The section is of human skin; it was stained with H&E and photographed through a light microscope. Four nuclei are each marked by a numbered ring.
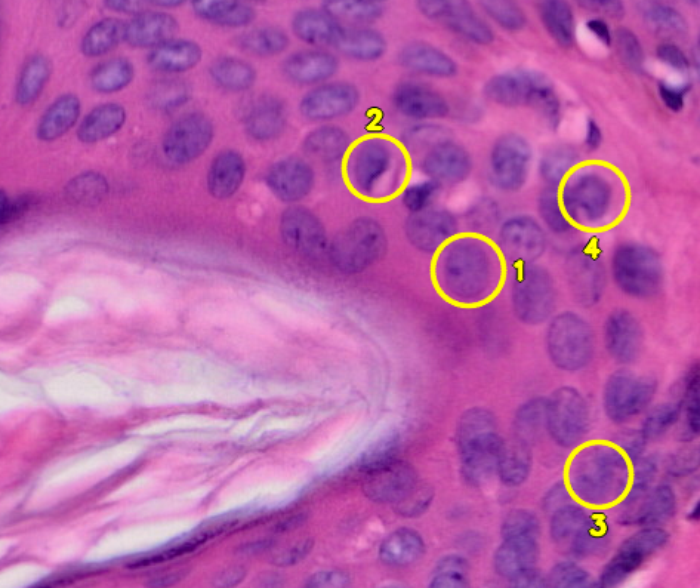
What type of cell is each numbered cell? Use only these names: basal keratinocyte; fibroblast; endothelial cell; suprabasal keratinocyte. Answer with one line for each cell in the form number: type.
1: suprabasal keratinocyte
2: suprabasal keratinocyte
3: suprabasal keratinocyte
4: basal keratinocyte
